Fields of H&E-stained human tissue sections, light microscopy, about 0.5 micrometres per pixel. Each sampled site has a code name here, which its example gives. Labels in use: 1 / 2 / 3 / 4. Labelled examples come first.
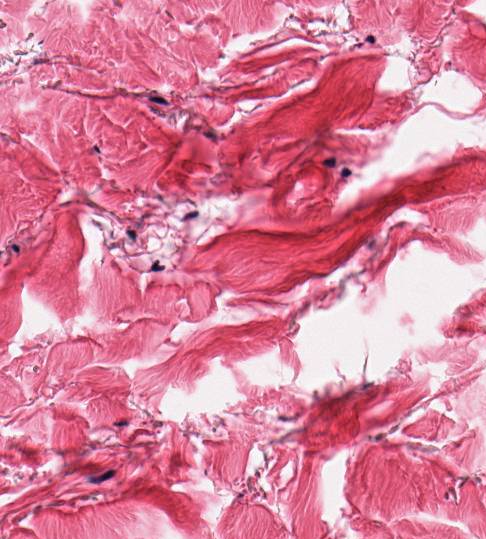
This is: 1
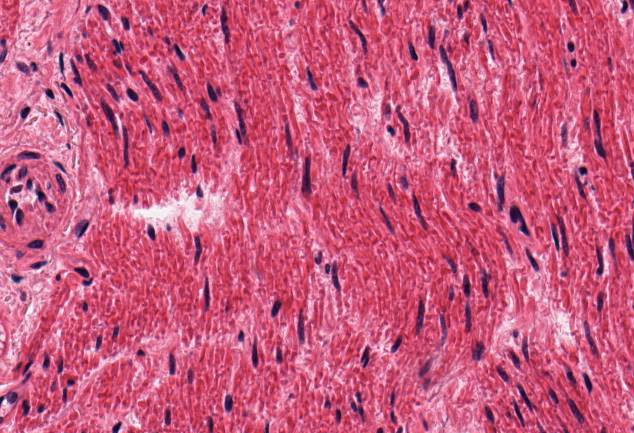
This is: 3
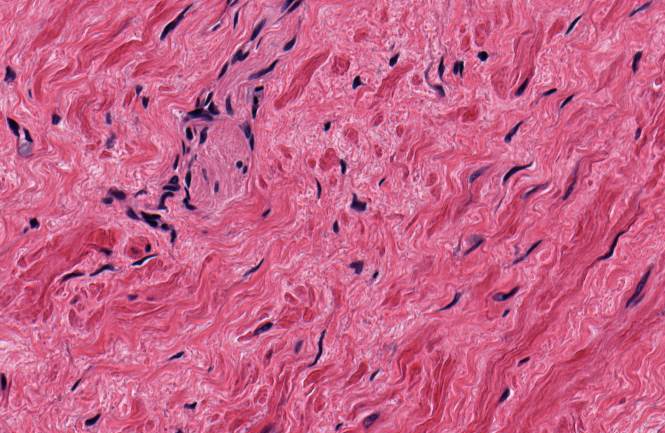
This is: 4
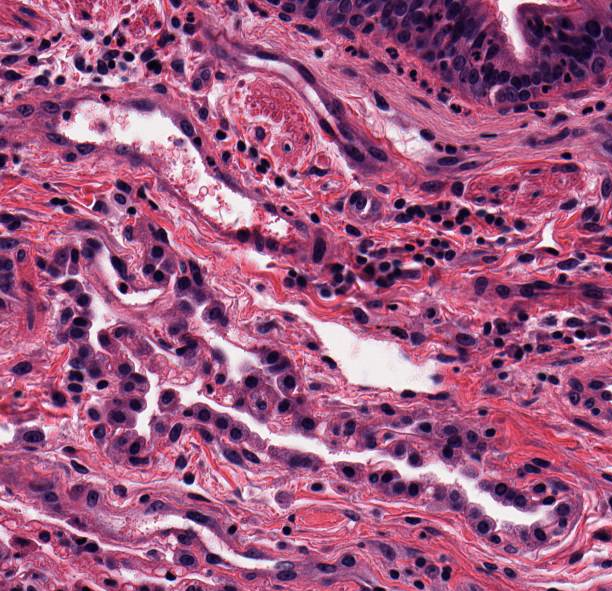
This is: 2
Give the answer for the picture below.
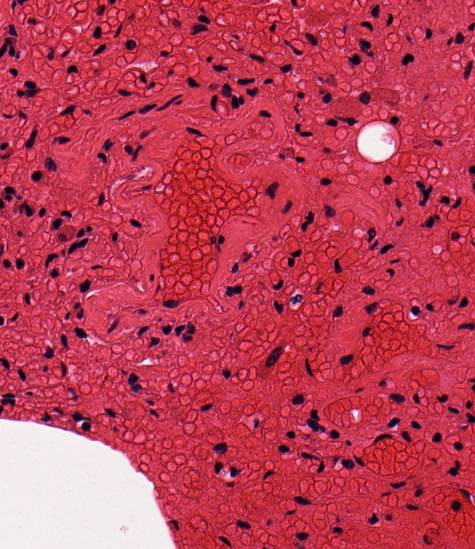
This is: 2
